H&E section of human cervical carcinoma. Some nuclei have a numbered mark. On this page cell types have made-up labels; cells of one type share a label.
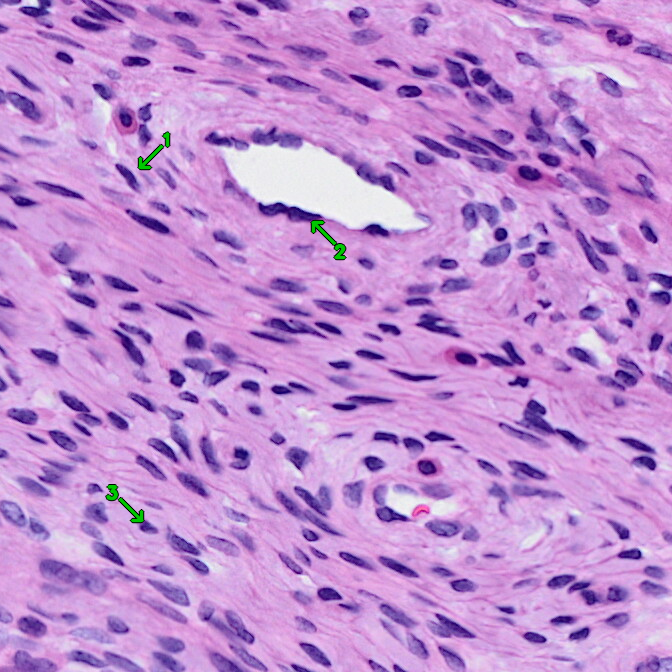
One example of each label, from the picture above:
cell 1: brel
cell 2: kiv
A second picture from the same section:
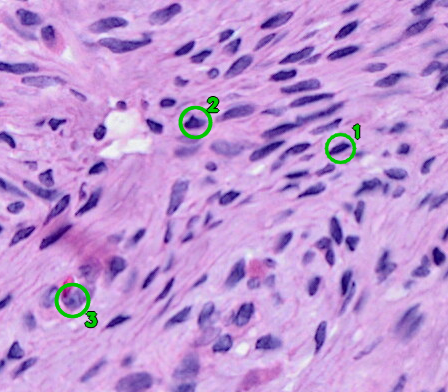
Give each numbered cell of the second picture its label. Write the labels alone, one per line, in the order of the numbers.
brel
brel
kiv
